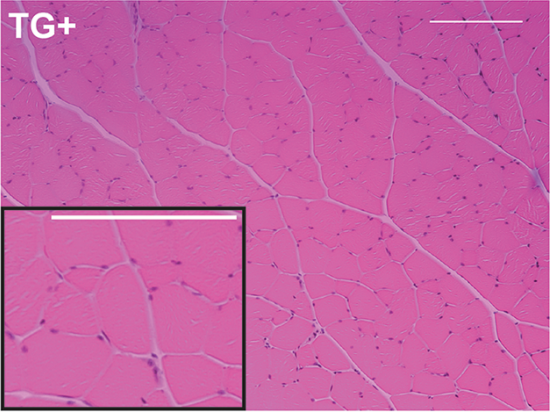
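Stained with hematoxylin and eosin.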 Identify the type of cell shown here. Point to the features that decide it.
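Large polygonal pink cells cut in cross-section. Flattened dark nuclei lie at the cell borders, not in the center. Cells are packed tightly with little space between them.
Conclusion: muscle fibers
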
